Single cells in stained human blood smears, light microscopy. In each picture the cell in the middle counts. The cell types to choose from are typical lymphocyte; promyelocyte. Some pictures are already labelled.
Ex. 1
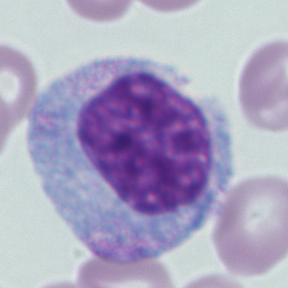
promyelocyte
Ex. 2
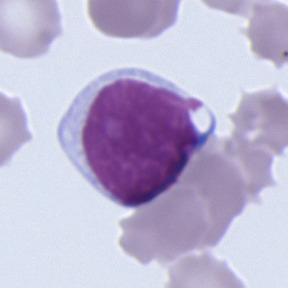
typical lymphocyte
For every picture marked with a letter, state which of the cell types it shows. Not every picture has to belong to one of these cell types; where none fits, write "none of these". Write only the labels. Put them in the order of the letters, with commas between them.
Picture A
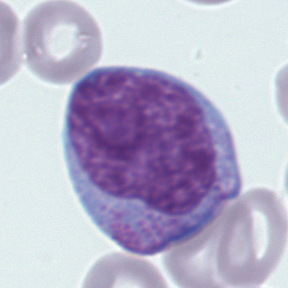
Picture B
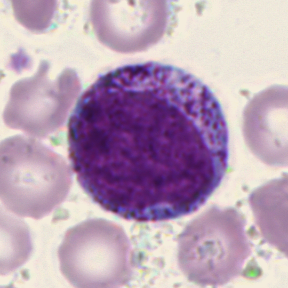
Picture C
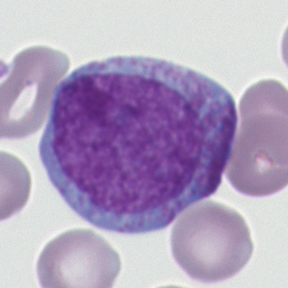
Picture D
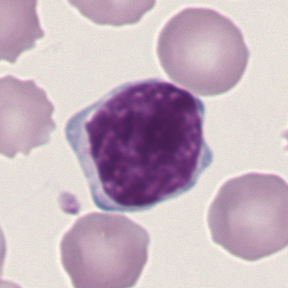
promyelocyte, promyelocyte, promyelocyte, typical lymphocyte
